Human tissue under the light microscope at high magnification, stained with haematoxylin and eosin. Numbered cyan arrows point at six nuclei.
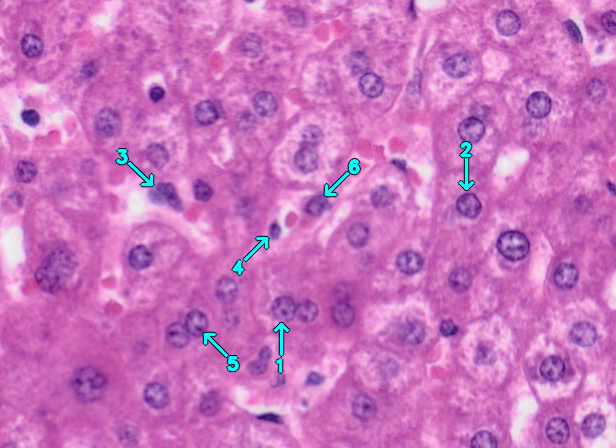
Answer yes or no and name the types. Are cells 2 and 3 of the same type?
No, cell 2 is a hepatocyte and cell 3 is an endothelial cell.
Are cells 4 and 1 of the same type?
No, cell 4 is a lymphocyte and cell 1 is a hepatocyte.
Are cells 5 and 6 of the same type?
No, cell 5 is a hepatocyte and cell 6 is a Kupffer cell.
